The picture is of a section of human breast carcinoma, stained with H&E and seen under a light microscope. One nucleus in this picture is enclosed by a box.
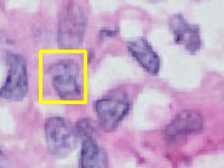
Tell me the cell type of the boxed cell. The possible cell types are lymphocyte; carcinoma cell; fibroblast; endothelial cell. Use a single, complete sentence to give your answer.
What the boxed cell represents is a carcinoma cell.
